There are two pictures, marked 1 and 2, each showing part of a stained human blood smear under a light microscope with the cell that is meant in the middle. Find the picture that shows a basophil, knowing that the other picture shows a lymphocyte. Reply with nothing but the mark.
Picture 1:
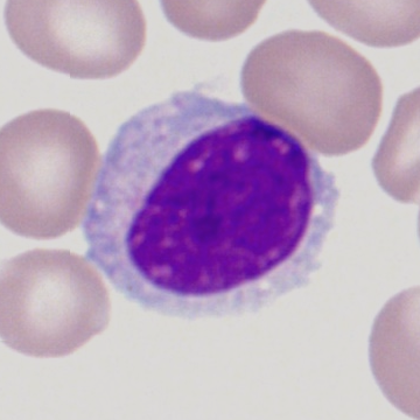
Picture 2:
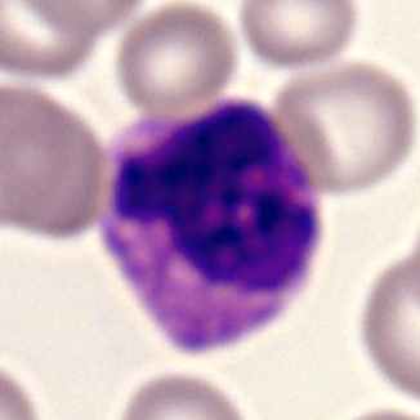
2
